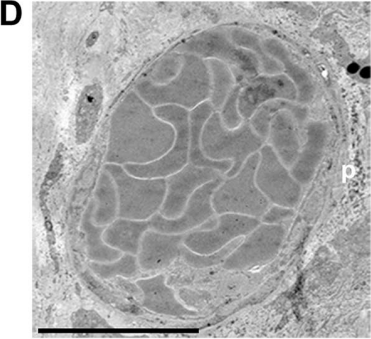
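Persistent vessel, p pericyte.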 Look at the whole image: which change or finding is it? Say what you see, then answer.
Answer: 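Many tightly packed erythrocytes filling the lumen. A large round vessel lumen is filled with many homogeneous grey profiles. The profiles are pressed against each other, separated only by thin pale lines.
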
